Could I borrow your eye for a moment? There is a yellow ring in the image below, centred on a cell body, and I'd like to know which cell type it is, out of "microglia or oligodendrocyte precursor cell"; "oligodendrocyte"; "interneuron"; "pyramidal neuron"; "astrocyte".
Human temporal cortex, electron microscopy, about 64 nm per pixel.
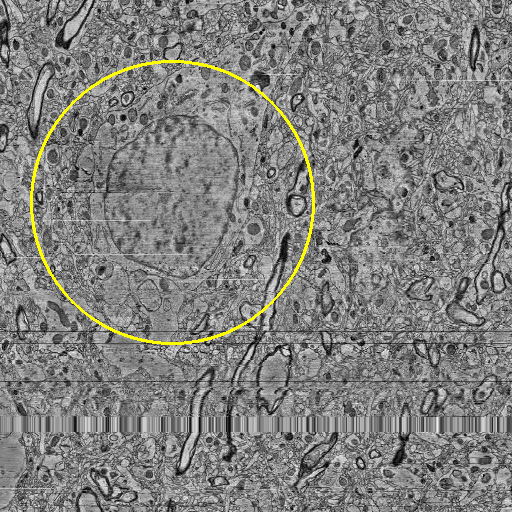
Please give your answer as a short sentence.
The cell body at the centre is that of an interneuron.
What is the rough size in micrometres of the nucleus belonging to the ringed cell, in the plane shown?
In this plane the nucleus spans approximately 11 by 8 micrometers.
